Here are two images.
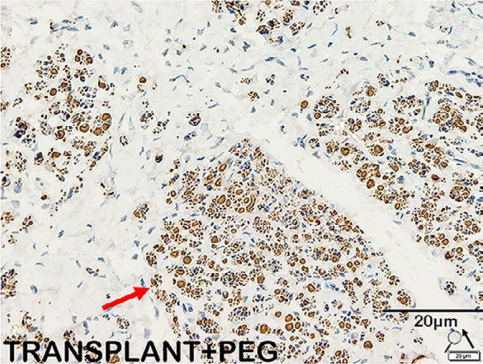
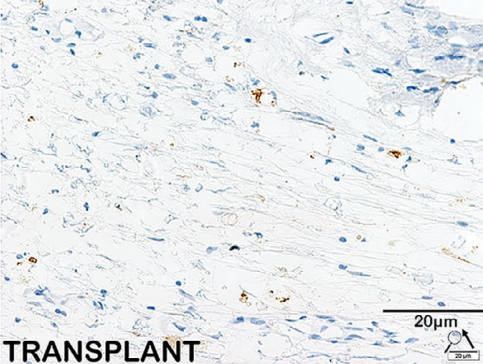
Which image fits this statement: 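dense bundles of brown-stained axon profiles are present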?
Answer: The first image.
